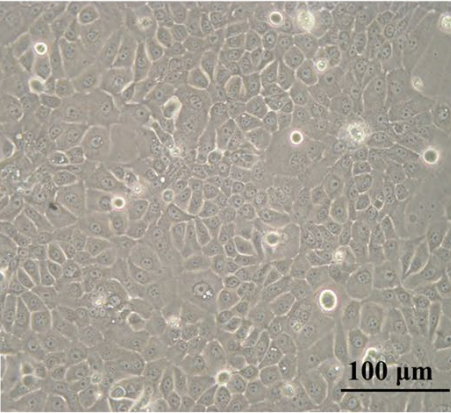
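Most are polygonal, with several straight or gently curved sides, and they fit against their neighbours like paving stones, giving a cobblestone sheet. Each cell has one oval, centrally placed nucleus, and in many of them small dark nucleoli can be picked out. The cytoplasm is thin and pale, with fine borders that stand out as bright lines between cells. Scattered across the sheet are a few small, round, bright, refractile cells that sit up off the surface, unlike the flattened cells around them.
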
